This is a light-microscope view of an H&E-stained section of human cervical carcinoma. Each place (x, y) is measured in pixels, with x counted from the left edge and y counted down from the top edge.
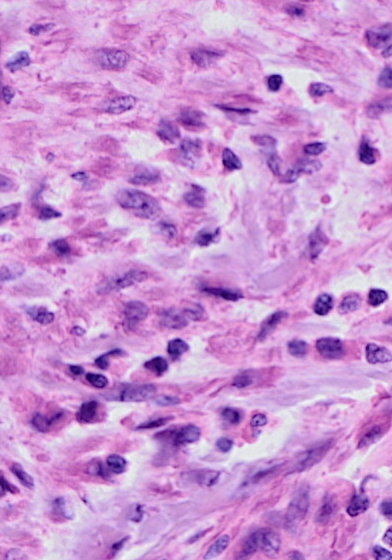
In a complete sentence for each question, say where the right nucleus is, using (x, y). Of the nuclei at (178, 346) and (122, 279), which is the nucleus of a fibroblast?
The nucleus of a fibroblast is the one found at (122, 279), not the other.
